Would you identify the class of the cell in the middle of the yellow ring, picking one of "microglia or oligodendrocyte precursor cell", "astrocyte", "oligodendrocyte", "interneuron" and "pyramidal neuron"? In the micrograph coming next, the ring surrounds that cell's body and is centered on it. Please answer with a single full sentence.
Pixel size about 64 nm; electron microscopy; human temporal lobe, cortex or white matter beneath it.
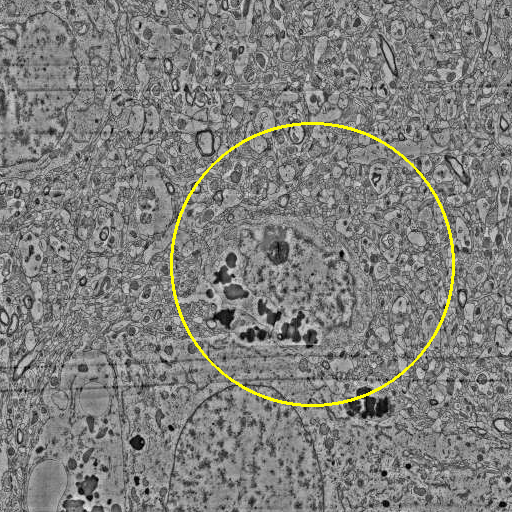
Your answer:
In the micrograph, it is an interneuron whose body lies at the ring's center.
